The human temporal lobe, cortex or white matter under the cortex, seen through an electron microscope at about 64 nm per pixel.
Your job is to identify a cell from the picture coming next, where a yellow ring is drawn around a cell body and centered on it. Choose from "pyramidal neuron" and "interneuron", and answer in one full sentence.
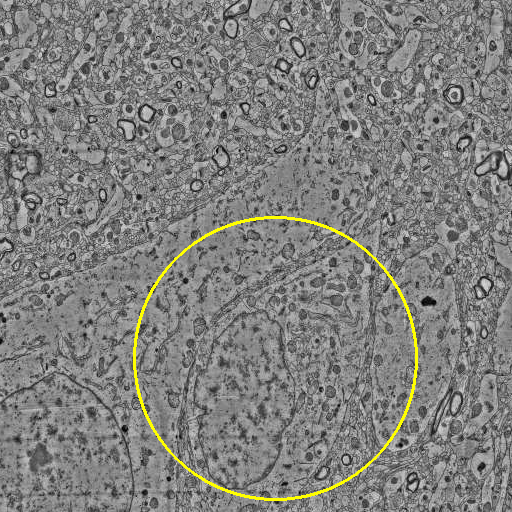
Centered in the yellow ring of the picture is the body of an interneuron.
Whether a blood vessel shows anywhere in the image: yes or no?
No, none shows.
